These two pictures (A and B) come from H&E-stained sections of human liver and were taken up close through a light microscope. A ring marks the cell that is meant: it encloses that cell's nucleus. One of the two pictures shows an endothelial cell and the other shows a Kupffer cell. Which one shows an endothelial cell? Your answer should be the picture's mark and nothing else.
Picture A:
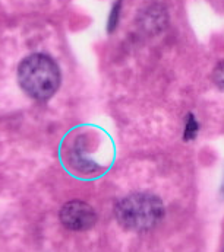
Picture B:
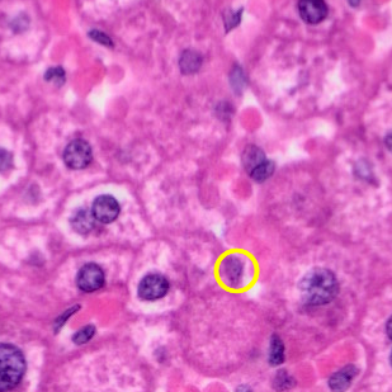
A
